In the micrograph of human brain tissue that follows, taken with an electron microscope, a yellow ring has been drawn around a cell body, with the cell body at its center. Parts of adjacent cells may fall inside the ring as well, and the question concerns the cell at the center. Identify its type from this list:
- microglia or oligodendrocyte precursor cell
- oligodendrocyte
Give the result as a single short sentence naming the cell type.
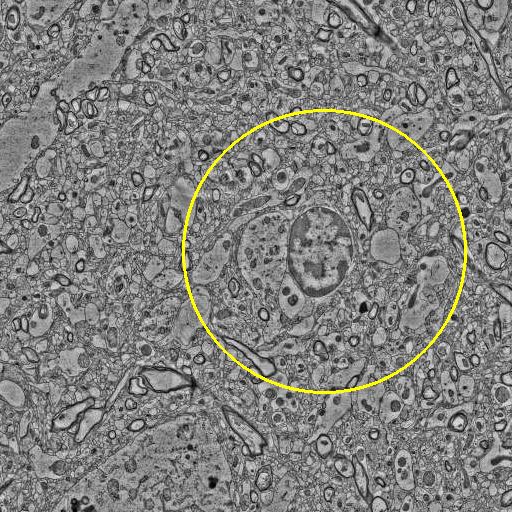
The ring is centered on a microglial cell or oligodendrocyte precursor cell.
